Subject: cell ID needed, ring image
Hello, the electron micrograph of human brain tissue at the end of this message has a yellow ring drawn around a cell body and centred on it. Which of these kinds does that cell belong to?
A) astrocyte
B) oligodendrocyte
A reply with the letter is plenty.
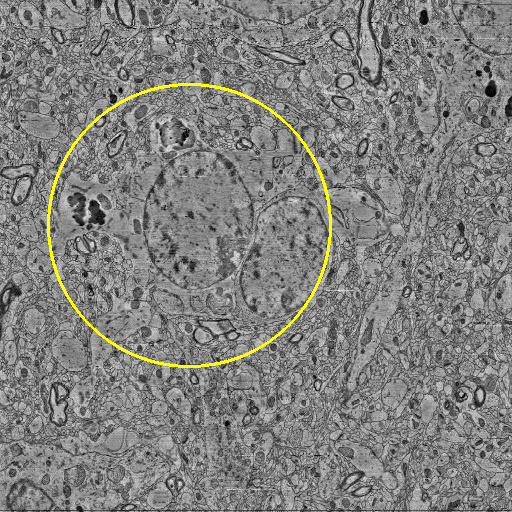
A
